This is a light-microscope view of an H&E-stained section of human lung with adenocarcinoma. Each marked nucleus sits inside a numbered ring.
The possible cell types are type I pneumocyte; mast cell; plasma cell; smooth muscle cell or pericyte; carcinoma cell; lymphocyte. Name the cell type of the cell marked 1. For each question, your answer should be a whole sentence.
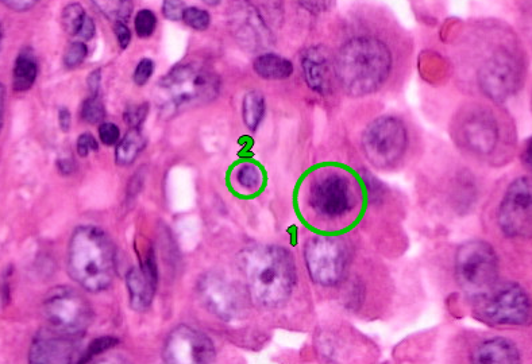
The numbered cell 1 in this field is a carcinoma cell.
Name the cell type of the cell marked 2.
The cell carrying label 2 is identified as a mast cell.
